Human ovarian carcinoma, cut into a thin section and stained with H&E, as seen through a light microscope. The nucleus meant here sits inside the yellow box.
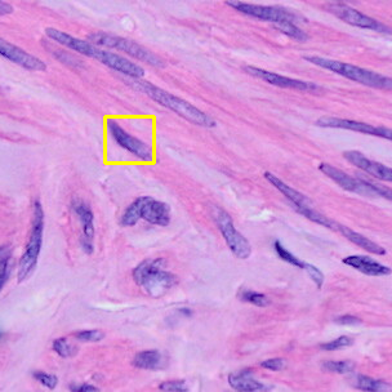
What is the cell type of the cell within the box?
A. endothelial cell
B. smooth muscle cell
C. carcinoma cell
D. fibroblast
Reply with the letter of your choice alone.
B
